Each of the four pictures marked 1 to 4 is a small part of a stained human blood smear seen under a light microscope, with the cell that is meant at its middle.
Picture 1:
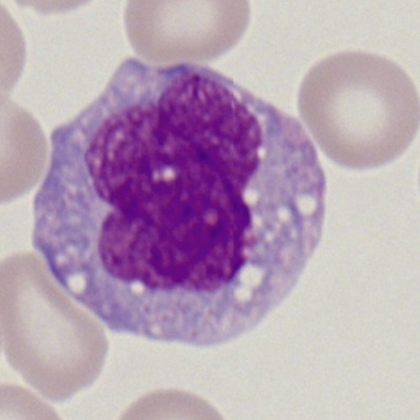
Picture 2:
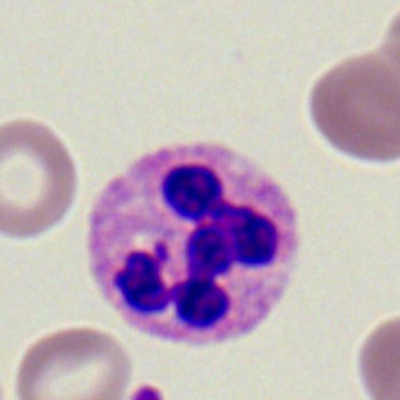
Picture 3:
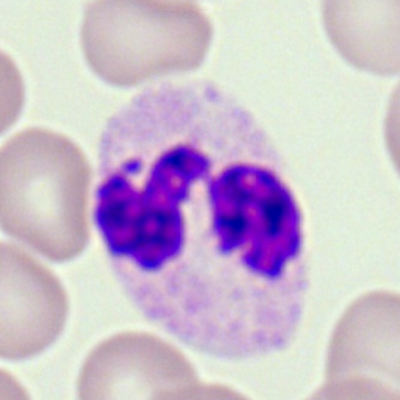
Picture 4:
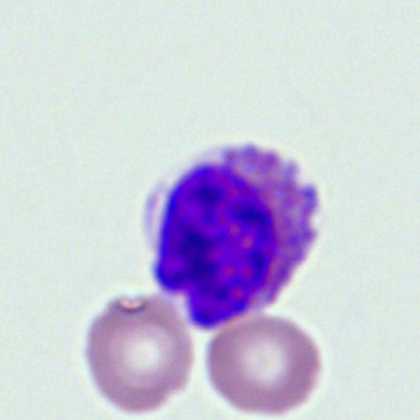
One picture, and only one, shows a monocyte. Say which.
1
